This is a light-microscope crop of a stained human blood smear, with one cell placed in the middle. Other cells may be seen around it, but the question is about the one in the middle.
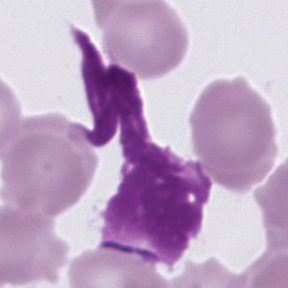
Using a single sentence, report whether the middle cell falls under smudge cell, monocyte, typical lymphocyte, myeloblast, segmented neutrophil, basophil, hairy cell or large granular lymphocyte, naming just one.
This crop's central cell is a smudge cell.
